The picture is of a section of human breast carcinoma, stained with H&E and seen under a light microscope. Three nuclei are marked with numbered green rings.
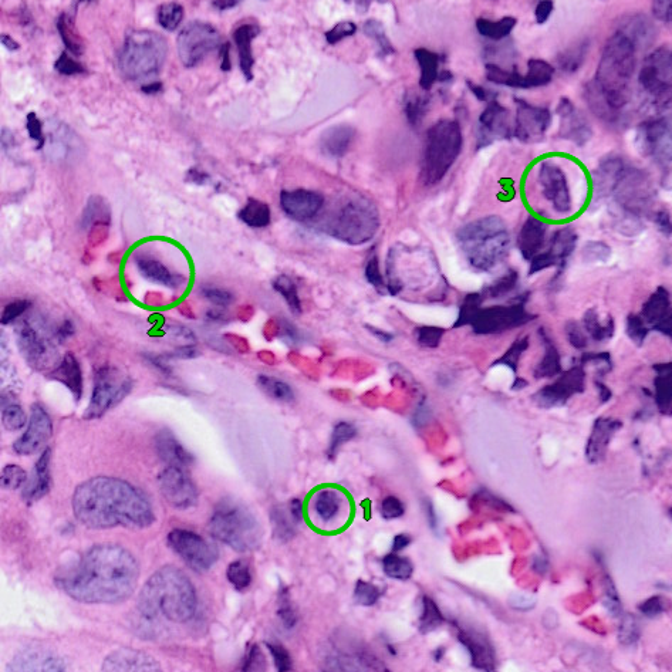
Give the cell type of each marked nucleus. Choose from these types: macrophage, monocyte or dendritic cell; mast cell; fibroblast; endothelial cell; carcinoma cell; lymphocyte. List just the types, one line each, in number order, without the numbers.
lymphocyte
endothelial cell
carcinoma cell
